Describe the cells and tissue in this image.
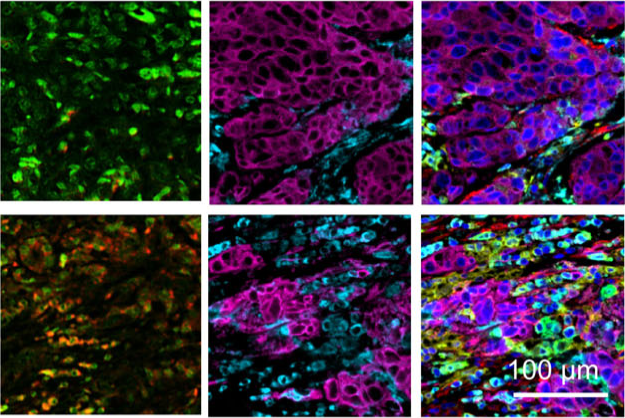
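Small cyan-stained cells lie in the narrow strands of stroma between and along the magenta nests. In the lower row the cyan cells are more numerous and lie scattered among and close to the magenta tumour cells, whereas in the upper row they are fewer and mostly confined to the thin bands between nests. The left column shows granular fluorescence in the cytoplasm of the cells, mostly green in the upper row and a mix of red, orange and green in the lower row.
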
